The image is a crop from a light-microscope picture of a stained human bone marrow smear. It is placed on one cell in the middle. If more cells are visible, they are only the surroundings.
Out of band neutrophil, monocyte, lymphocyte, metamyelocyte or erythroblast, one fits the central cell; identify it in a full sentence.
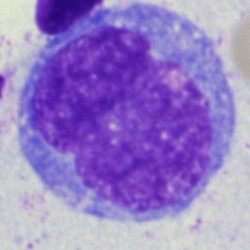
Standing at the centre of this crop is a monocyte.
